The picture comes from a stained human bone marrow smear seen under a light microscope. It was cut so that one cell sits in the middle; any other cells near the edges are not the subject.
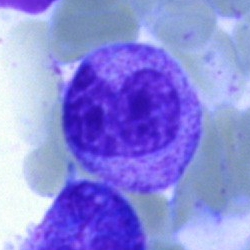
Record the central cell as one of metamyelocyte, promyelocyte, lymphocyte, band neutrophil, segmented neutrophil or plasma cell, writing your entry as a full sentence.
The cell in the exact centre of the crop is a metamyelocyte.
